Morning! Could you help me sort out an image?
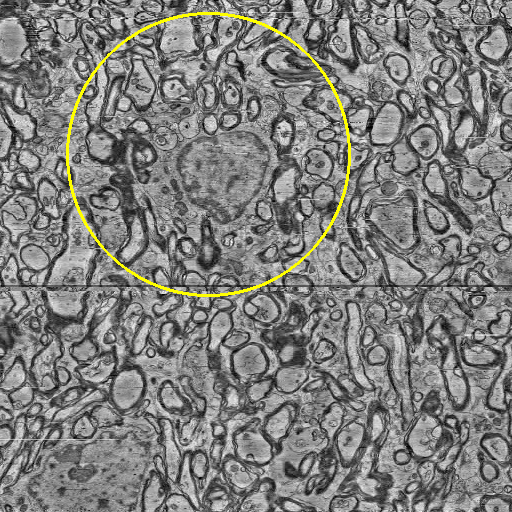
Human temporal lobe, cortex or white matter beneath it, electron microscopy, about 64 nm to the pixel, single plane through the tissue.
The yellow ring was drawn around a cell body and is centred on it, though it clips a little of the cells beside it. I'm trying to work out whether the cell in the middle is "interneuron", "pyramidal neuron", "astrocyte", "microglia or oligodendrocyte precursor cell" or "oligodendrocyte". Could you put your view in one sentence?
The ringed cell body is that of an oligodendrocyte.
